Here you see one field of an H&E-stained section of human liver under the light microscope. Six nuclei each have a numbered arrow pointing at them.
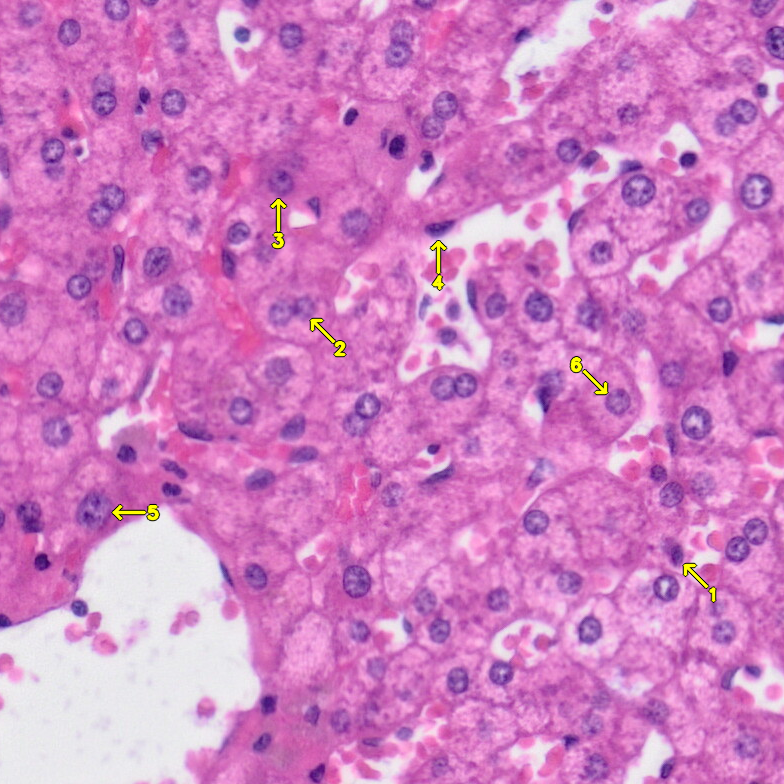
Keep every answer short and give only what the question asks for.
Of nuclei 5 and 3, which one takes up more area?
5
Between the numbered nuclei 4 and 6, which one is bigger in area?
6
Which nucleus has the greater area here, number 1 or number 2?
2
